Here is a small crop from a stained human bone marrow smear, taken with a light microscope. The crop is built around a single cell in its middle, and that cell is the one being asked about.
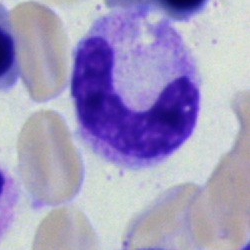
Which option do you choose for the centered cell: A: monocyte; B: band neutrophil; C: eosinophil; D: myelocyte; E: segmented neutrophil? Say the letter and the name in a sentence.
Seen at the centre of the crop is a band neutrophil, so option B is correct.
